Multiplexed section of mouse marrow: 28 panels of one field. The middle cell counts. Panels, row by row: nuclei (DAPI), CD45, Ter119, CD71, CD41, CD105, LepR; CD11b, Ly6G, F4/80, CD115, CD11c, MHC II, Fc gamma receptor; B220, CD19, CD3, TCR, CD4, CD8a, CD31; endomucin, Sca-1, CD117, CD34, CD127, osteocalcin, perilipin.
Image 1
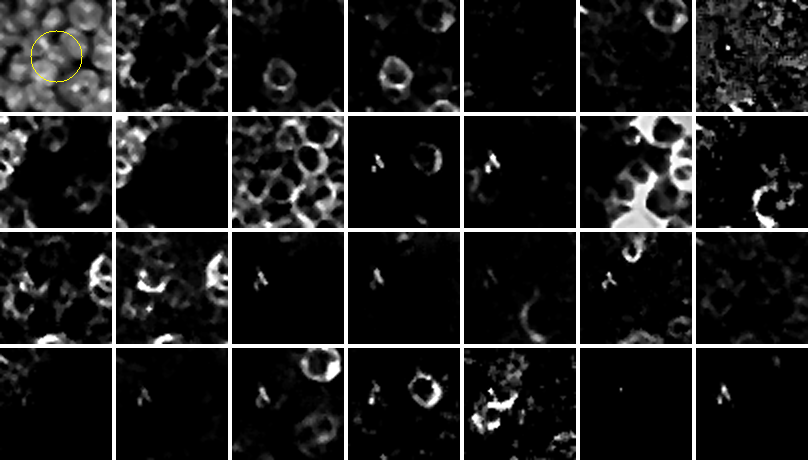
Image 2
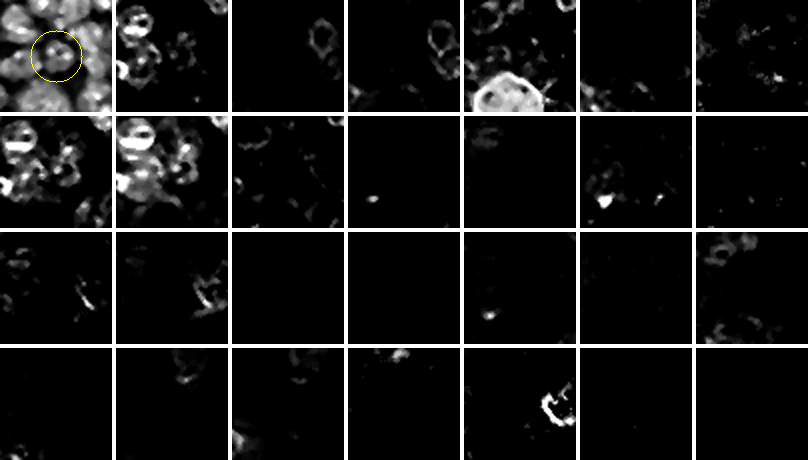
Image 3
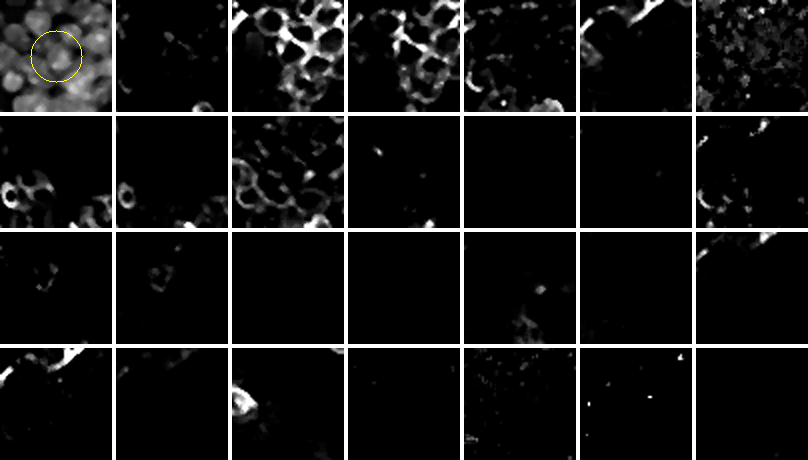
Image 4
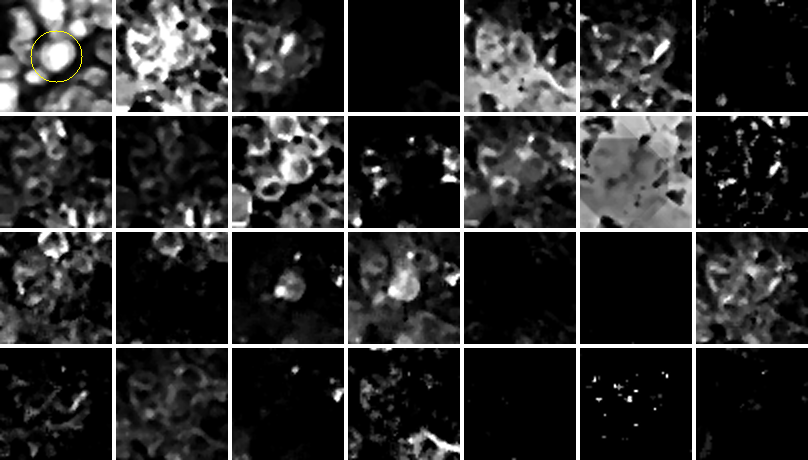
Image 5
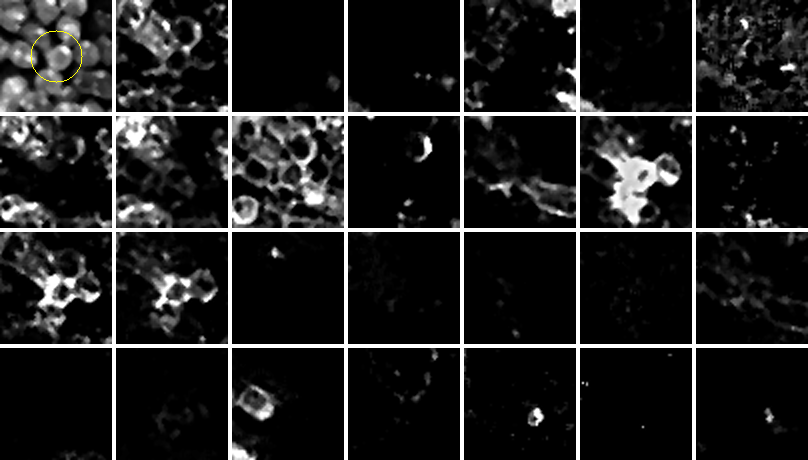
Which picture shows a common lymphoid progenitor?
Picture 1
